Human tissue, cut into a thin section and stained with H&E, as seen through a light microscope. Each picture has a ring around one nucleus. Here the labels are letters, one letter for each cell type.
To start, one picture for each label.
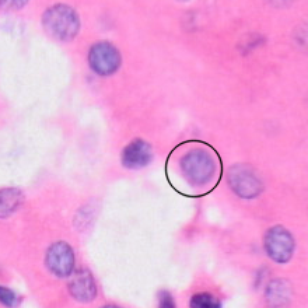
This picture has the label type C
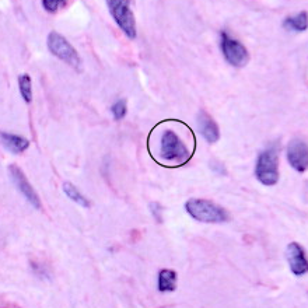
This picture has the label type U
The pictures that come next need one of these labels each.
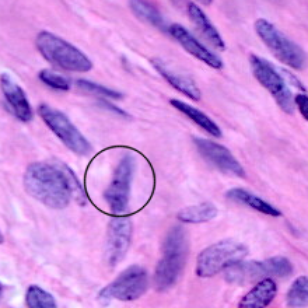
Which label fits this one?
type U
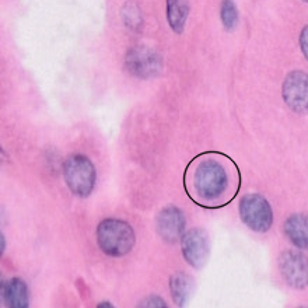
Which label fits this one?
type C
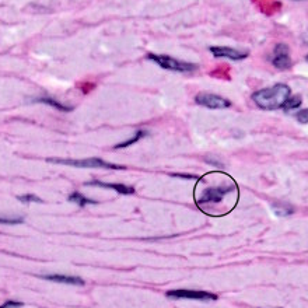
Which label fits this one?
type U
